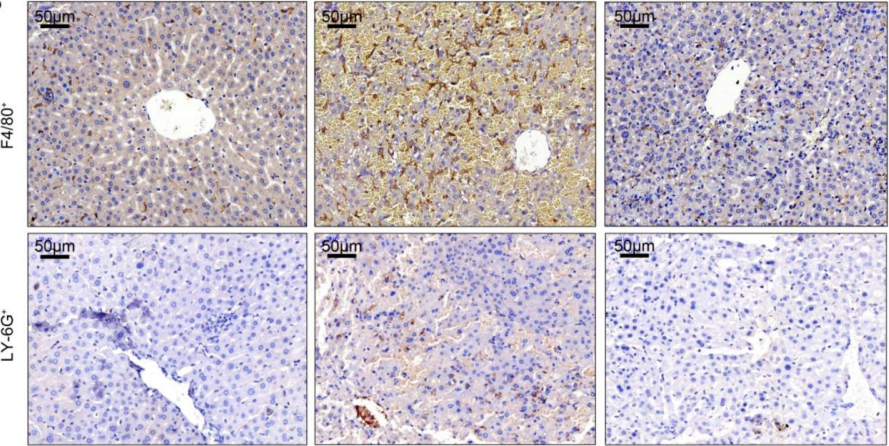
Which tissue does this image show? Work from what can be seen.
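Polygonal cells with round central nuclei arranged in cords. Cords radiate around round vessel lumens. Narrow sinusoidal spaces run between the cell cords. On this evidence: liver tissue.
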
